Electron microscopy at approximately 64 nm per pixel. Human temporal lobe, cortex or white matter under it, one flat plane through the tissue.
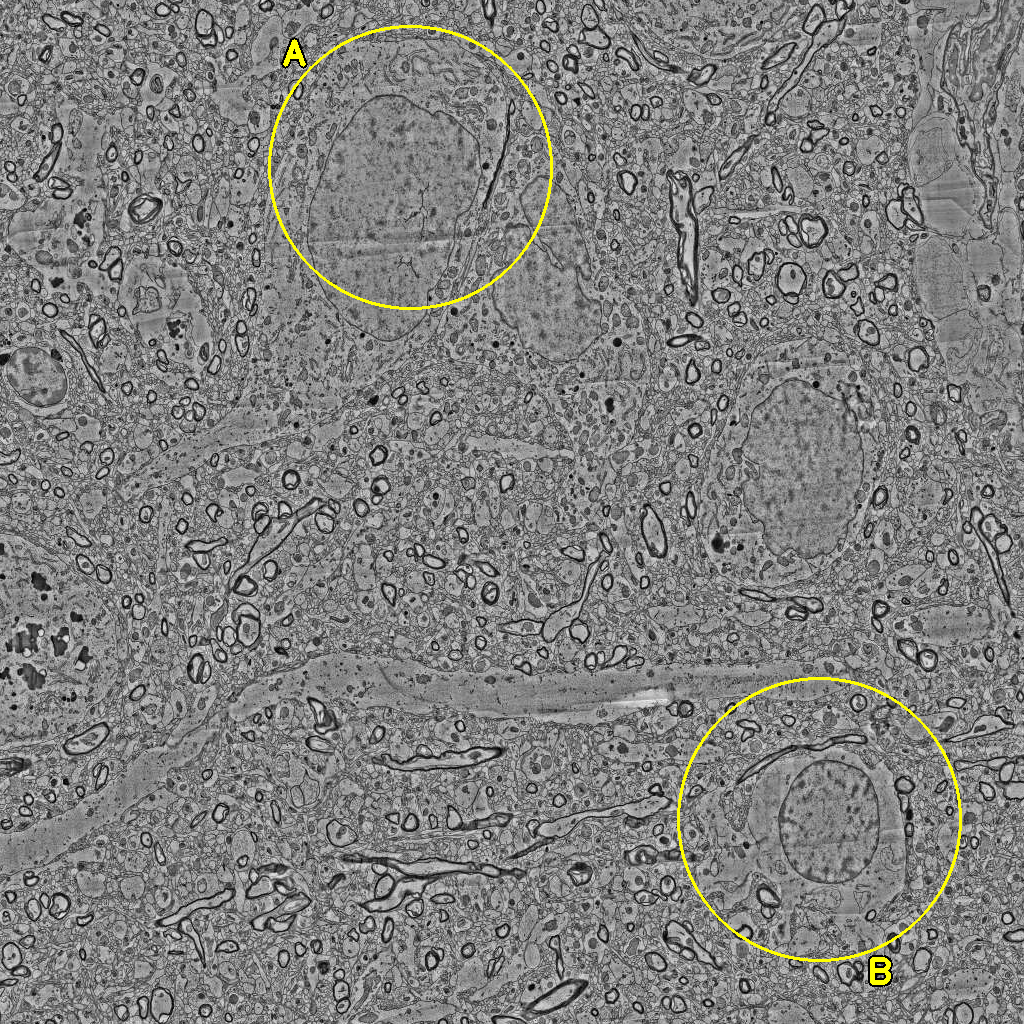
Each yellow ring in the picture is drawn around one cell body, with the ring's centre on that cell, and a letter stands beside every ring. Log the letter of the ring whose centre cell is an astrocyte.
B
